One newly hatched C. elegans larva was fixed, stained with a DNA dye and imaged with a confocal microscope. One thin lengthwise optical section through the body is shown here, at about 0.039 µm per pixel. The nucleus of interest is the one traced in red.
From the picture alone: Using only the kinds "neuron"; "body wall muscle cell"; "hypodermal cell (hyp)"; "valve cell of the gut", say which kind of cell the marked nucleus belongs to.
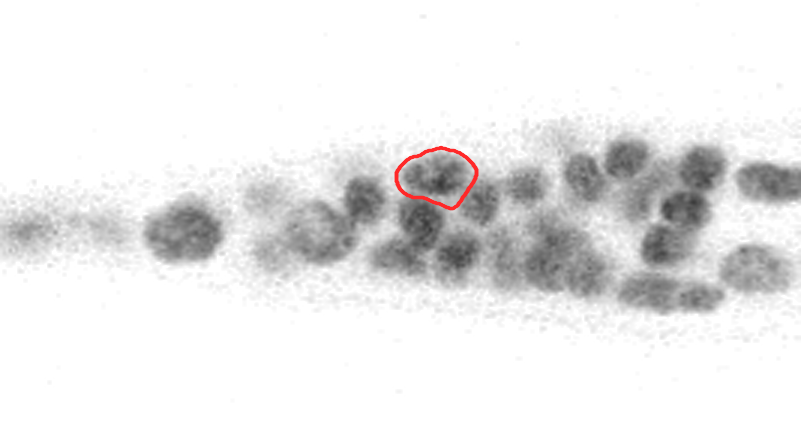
body wall muscle cell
